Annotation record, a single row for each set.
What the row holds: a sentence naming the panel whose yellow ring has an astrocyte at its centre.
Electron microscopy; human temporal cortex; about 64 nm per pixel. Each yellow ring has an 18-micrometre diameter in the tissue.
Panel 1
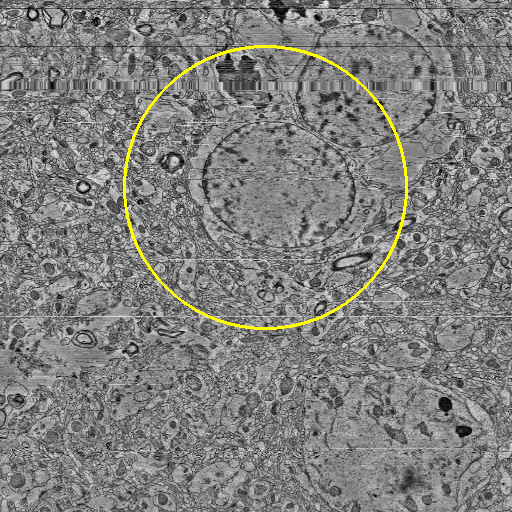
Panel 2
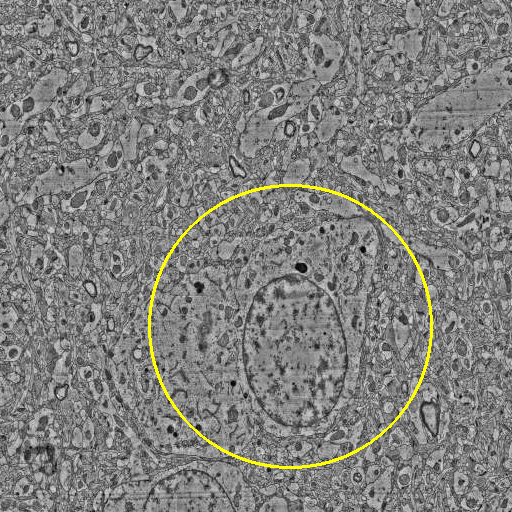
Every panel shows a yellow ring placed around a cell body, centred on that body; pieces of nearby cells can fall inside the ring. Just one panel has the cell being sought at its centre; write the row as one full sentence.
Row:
In panel 1, the cell at the middle of the yellow ring is the one sought.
